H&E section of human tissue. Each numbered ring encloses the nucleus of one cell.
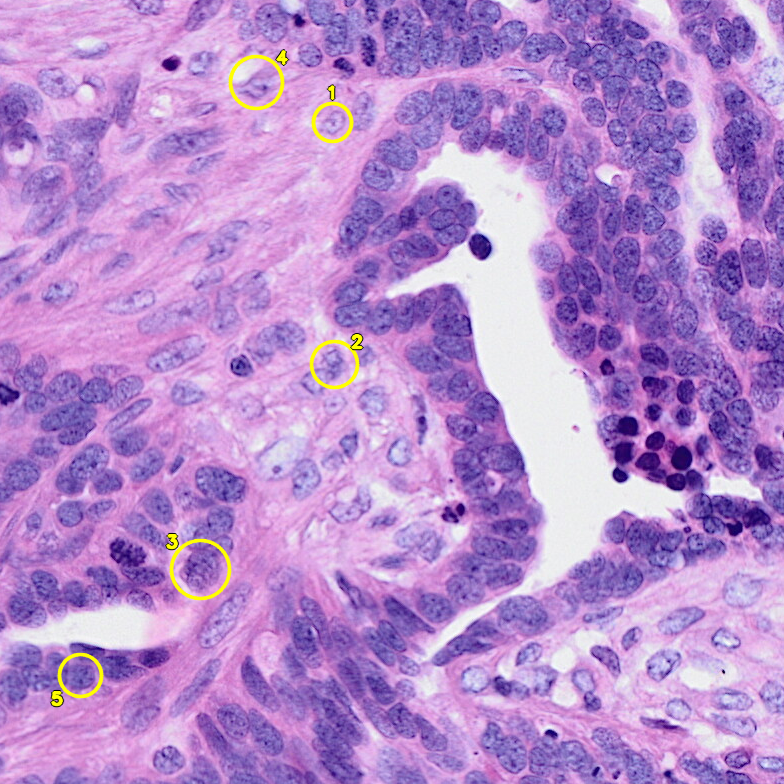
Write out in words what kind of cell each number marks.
Cell 1 is a fibroblast, cell 2 is a fibroblast, cell 3 is a carcinoma cell, cell 4 is a fibroblast and cell 5 is a carcinoma cell.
